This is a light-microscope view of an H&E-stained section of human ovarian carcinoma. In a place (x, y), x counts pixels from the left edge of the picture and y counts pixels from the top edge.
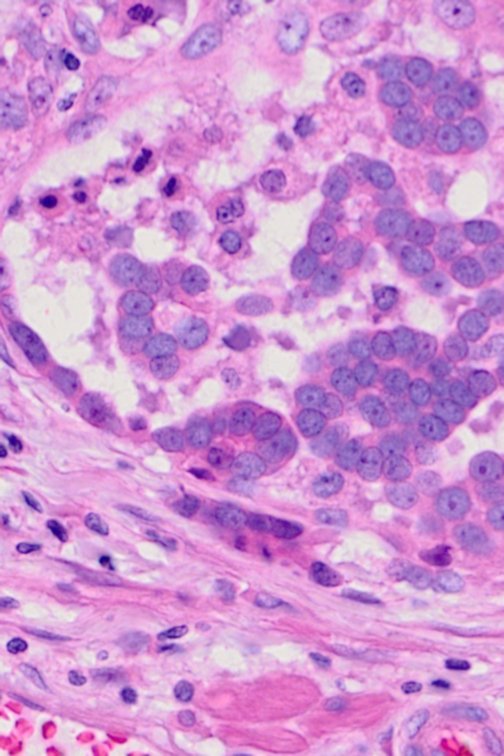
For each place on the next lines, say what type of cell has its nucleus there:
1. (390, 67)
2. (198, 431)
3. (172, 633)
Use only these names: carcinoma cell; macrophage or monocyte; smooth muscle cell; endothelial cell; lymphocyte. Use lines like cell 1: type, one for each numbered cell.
cell 1: carcinoma cell
cell 2: carcinoma cell
cell 3: lymphocyte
